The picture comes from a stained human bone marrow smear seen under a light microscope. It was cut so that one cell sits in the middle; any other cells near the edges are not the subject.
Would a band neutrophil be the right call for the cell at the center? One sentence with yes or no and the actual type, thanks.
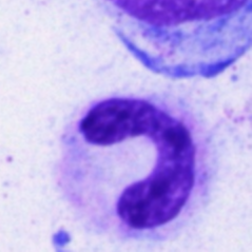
Yes, the centre of the crop holds a band neutrophil.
